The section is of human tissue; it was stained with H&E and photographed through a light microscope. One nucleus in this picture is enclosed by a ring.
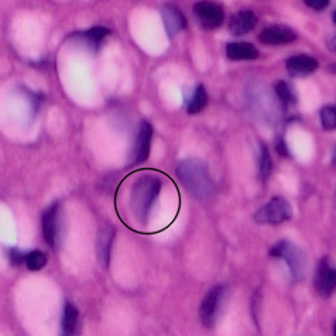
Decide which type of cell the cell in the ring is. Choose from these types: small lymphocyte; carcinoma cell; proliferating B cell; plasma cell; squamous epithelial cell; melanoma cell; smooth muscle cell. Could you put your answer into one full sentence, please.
In cellular terms, the cell in the ring is a squamous epithelial cell.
